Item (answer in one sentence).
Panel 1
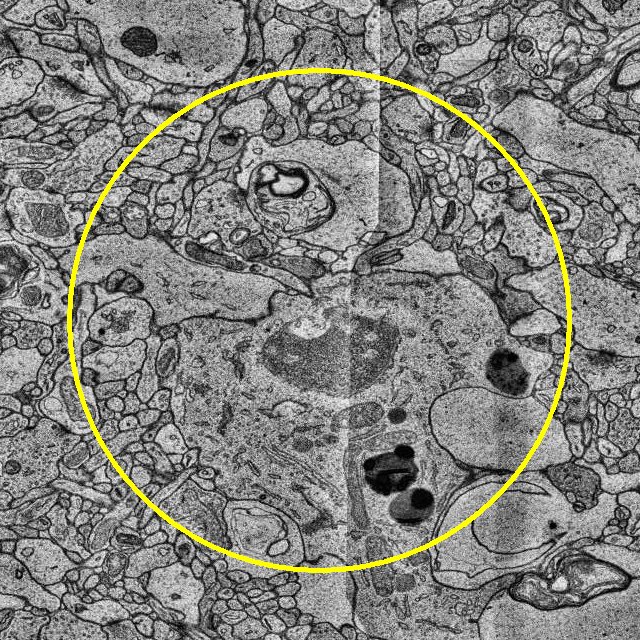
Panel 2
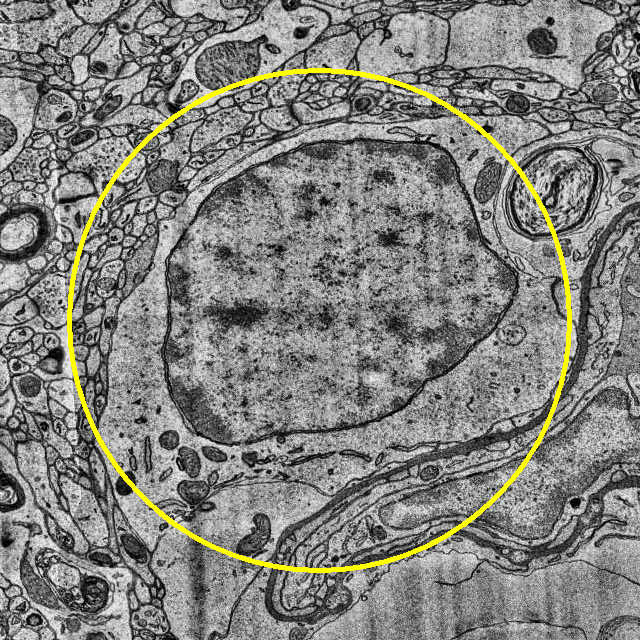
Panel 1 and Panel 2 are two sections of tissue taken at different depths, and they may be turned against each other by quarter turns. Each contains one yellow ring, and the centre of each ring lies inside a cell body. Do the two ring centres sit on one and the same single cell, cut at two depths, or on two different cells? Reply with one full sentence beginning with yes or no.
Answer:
No, the two rings indicate two different cells, not one.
